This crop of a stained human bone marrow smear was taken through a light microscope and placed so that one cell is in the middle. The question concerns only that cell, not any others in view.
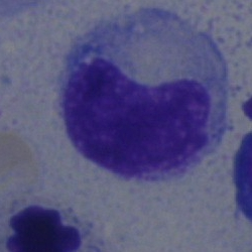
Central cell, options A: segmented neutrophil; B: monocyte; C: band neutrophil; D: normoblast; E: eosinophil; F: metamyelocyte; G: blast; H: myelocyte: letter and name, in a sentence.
At the centre of the crop lies a metamyelocyte, which makes option F correct.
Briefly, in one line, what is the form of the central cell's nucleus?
Just one compact nuclear mass here, round, oval or kidney-shaped.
